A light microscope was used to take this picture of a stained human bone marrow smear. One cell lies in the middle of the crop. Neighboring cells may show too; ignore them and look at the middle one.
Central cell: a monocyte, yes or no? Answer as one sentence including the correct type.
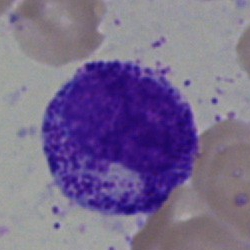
No, instead of a monocyte, the middle cell is a myelocyte.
